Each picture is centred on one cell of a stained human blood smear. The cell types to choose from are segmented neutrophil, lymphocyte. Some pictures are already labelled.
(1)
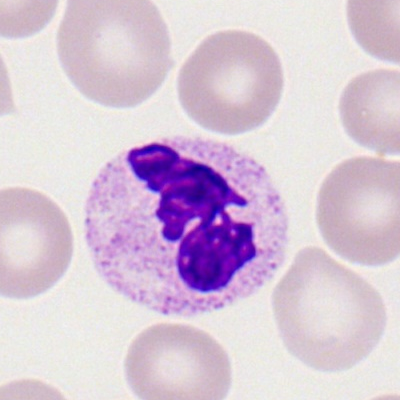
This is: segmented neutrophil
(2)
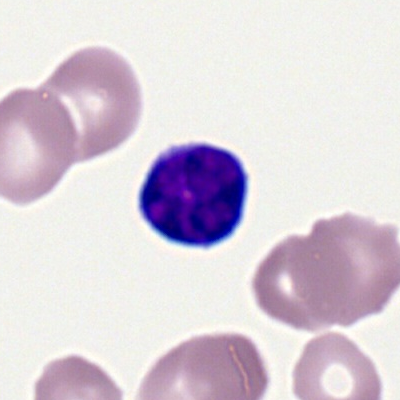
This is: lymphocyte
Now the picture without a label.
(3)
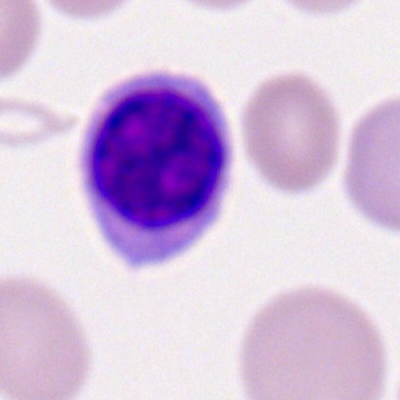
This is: lymphocyte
